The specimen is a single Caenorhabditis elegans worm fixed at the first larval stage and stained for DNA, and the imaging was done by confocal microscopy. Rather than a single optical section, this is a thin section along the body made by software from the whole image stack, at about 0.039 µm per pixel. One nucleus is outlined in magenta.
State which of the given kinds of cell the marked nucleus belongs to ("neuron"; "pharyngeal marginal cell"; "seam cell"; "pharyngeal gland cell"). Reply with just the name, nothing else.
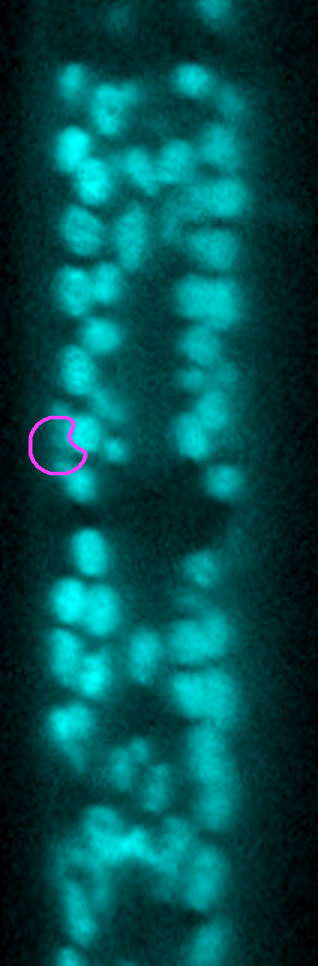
seam cell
